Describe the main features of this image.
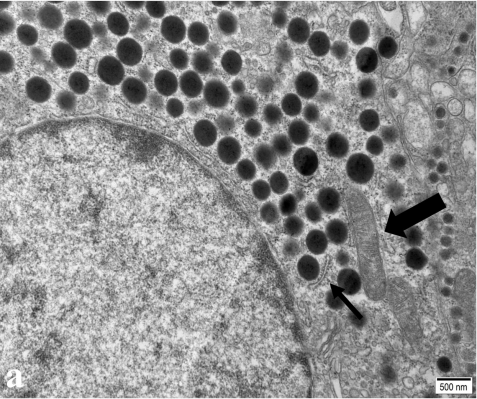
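Some granules are very dense, others are paler grey. Between the granules lies a slender elongated mitochondrion with a compact matrix and regular cristae. Narrow profiles of rough endoplasmic reticulum run among the granules close to the nuclear envelope. Nothing here looks swollen or dilated.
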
